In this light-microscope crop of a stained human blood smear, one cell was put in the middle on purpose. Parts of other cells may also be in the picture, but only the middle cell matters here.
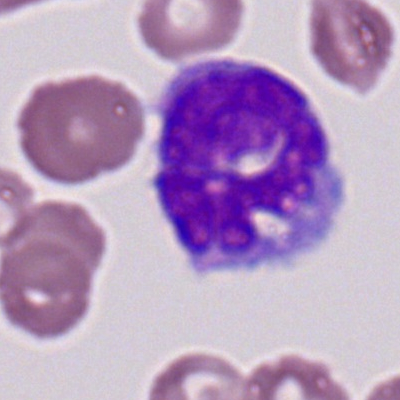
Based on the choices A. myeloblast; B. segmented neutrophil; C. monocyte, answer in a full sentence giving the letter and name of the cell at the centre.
Option C is correct in that the central cell is a monocyte.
